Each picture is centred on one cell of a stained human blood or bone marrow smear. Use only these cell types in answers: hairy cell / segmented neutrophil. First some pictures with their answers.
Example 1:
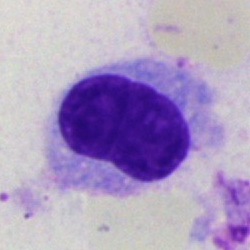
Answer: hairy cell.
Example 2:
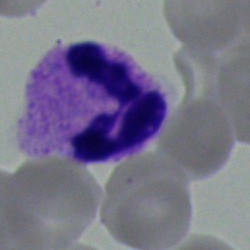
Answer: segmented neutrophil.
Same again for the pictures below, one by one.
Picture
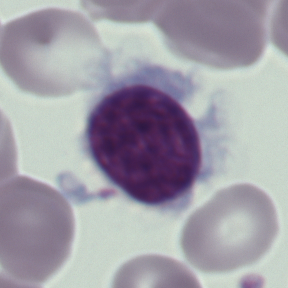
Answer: hairy cell.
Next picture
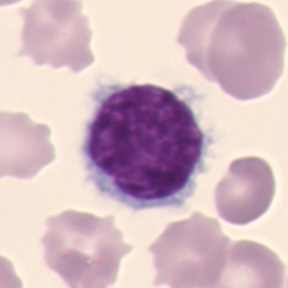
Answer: hairy cell.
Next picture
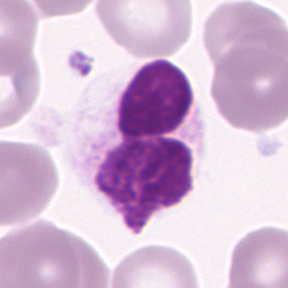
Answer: segmented neutrophil.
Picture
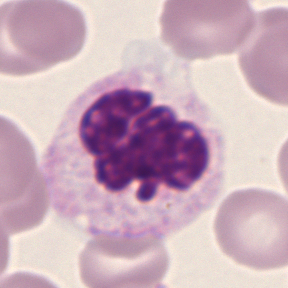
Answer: segmented neutrophil.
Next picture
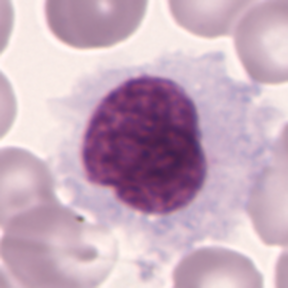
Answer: hairy cell.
